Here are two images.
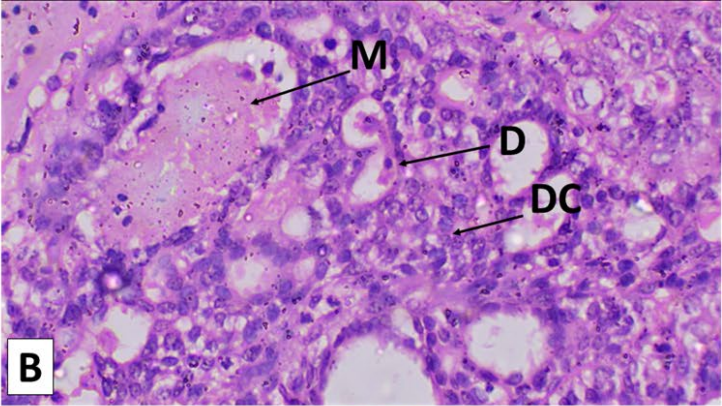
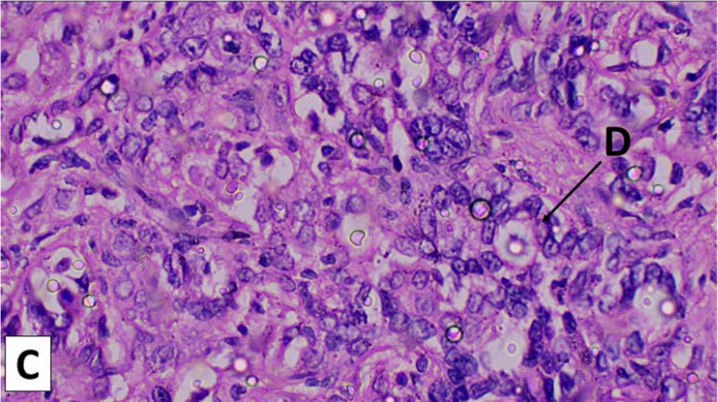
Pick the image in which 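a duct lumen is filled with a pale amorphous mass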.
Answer: the first image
